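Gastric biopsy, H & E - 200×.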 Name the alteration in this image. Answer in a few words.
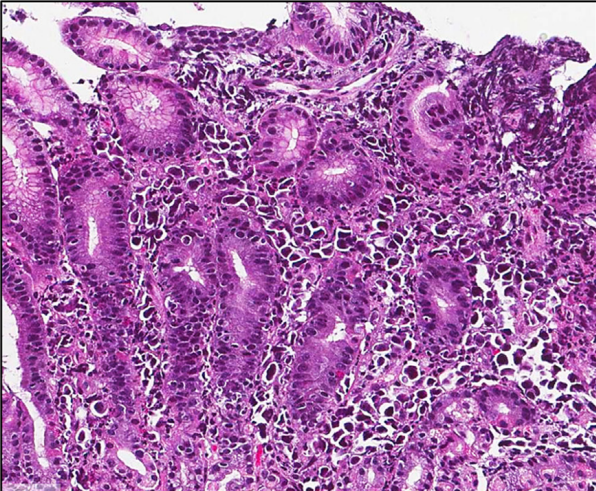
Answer: Atypical cells replacing the lamina propria.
